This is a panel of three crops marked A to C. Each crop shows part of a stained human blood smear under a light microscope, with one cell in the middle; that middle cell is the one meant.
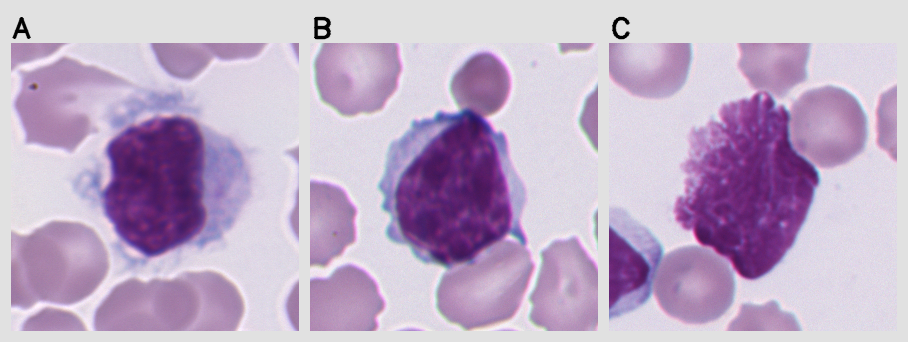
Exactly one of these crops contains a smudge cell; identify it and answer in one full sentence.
The crop with a smudge cell in it is crop C.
